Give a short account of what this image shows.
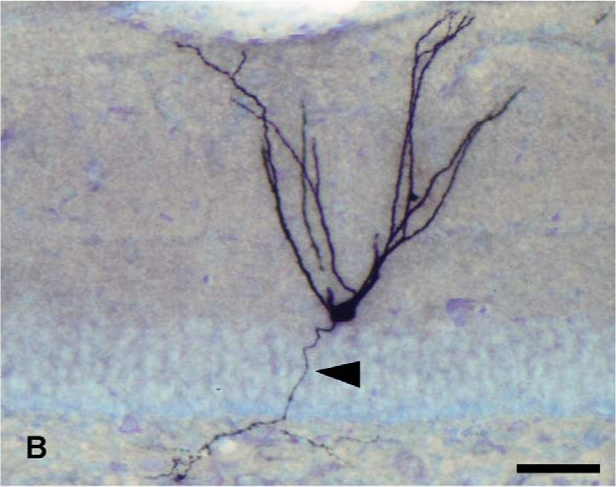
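A single neuron filled with black reaction product lies just above a pale band of densely packed cell bodies. From its small soma a fan of branching dendrites rises toward the top of the field, while one thin axon leaves the base of the cell and runs downward across the pale cell band, branching beneath it.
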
